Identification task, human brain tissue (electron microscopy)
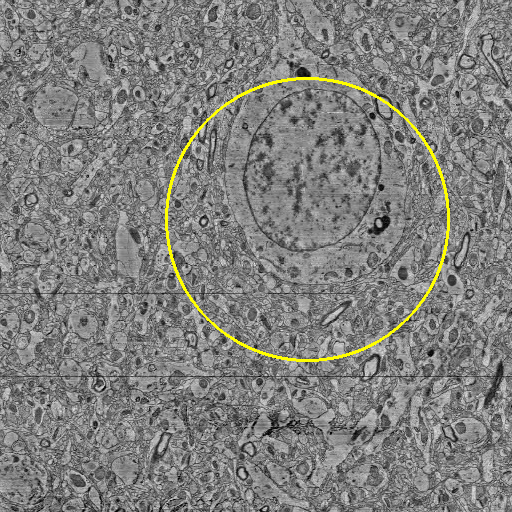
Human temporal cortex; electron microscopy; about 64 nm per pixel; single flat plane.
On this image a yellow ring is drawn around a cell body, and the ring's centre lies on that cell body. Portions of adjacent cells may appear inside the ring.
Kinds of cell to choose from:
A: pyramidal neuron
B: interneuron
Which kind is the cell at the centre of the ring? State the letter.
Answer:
A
